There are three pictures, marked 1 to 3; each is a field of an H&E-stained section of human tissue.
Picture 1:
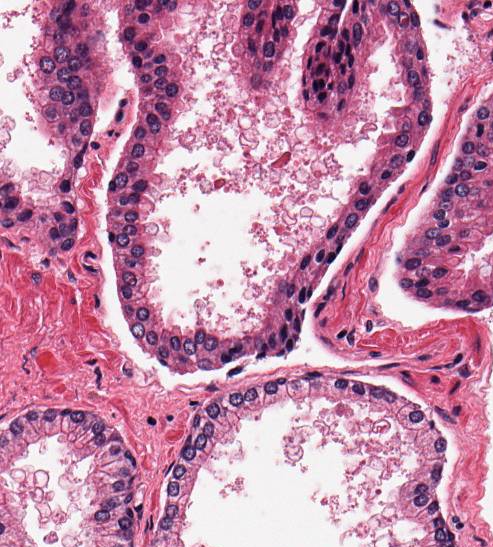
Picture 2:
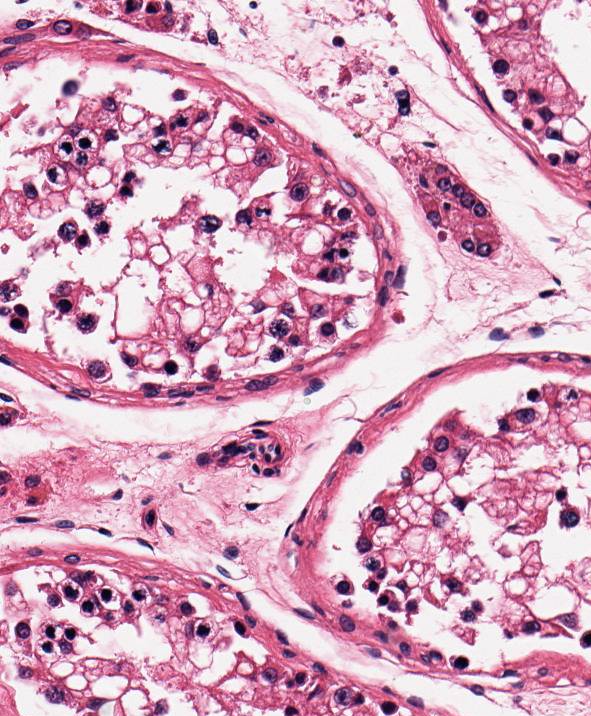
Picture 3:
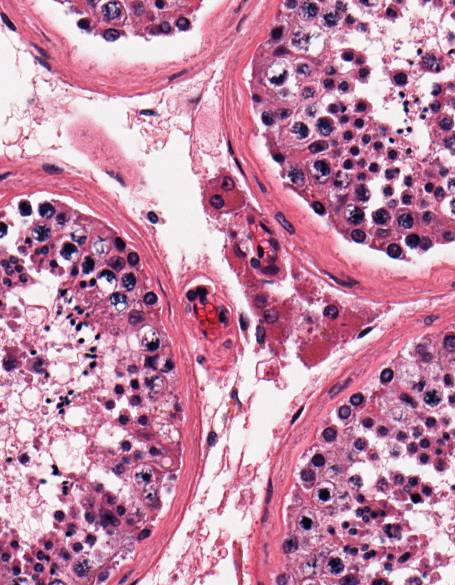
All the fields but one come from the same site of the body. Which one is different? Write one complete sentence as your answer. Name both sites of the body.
Picture 1 is the odd one out: it comes from the prostate, while the others come from the testis.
